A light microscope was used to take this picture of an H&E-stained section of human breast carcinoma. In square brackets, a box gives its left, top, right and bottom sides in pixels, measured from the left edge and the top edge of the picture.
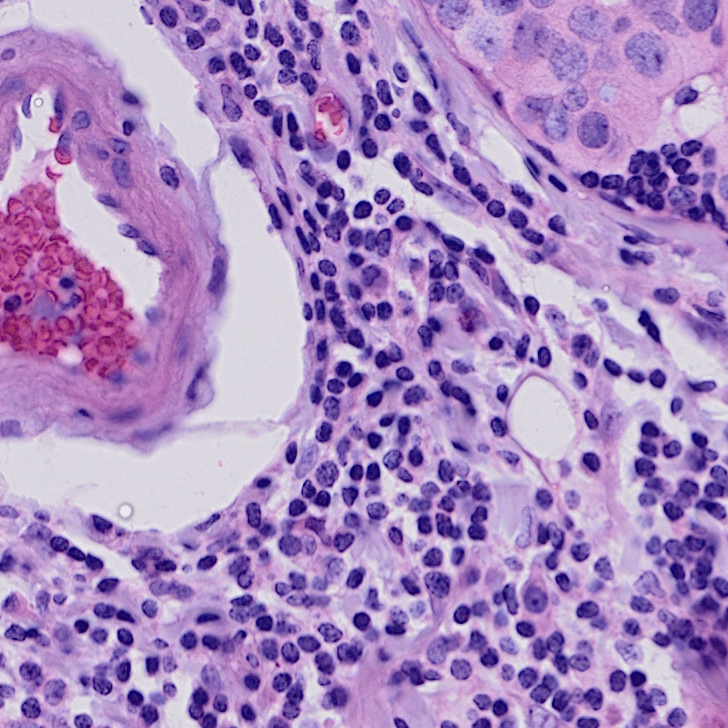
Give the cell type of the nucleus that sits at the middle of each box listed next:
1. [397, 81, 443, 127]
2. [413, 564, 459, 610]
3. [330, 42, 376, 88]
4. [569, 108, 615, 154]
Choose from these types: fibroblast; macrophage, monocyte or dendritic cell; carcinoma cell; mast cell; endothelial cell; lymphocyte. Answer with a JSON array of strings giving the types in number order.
["lymphocyte", "lymphocyte", "lymphocyte", "carcinoma cell"]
